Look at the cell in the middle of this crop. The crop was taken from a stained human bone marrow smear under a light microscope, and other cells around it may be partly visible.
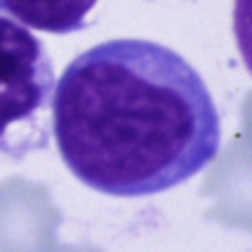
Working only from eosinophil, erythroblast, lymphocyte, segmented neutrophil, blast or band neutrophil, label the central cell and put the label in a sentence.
The cell at the centre of the field is a blast.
